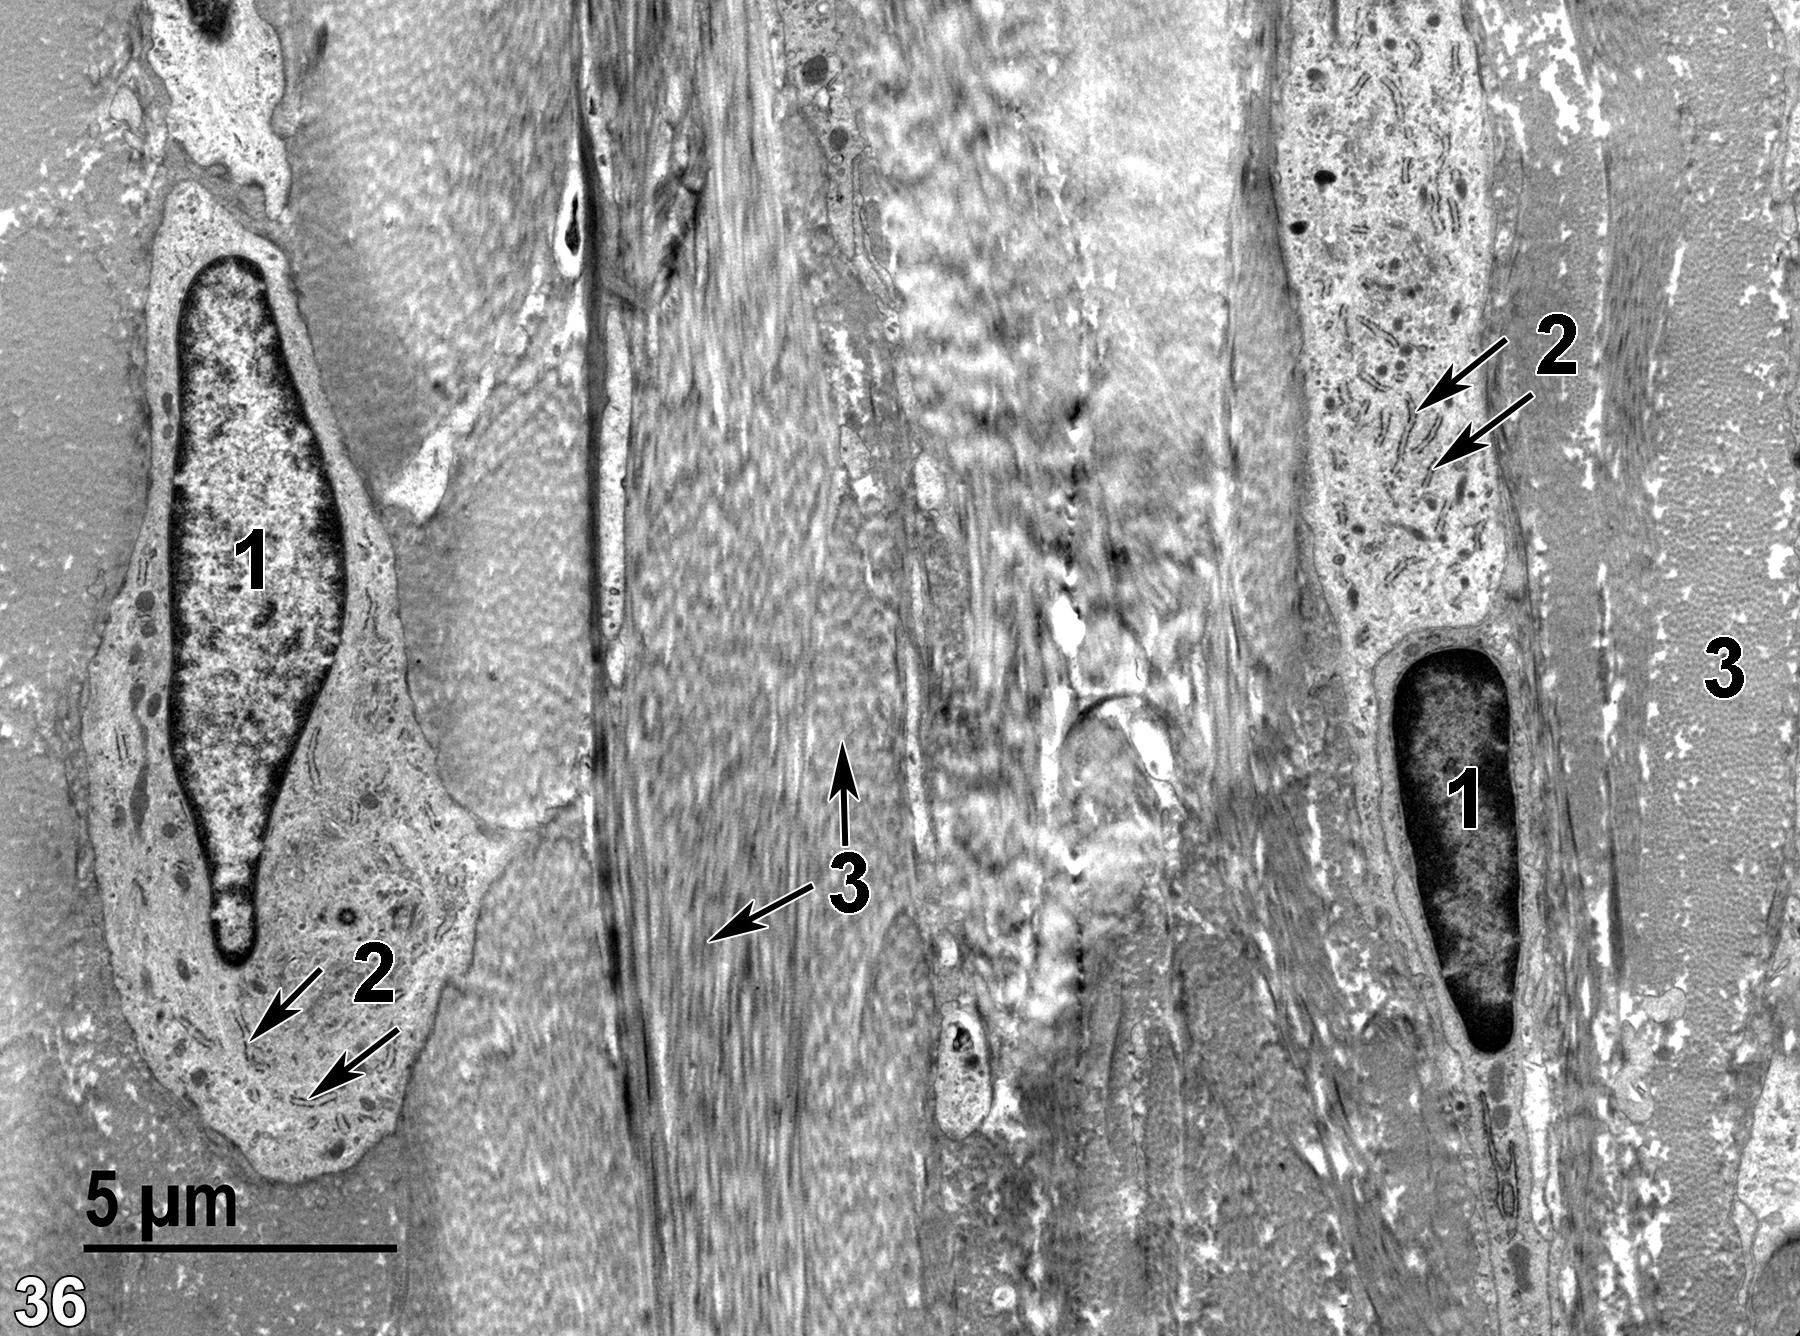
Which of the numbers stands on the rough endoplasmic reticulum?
It's 2.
